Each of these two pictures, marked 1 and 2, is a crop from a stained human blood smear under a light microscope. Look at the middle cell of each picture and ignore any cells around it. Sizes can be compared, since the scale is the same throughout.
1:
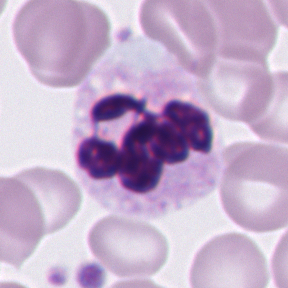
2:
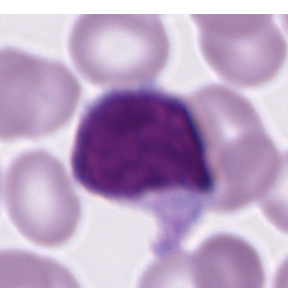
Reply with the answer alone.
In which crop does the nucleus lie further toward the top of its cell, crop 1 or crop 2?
2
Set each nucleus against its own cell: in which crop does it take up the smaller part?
1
